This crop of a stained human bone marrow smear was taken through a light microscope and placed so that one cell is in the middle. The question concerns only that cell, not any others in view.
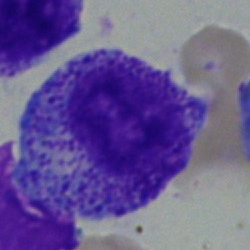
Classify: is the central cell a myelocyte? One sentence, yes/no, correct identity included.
Yes, the cell that lies centrally is a myelocyte.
